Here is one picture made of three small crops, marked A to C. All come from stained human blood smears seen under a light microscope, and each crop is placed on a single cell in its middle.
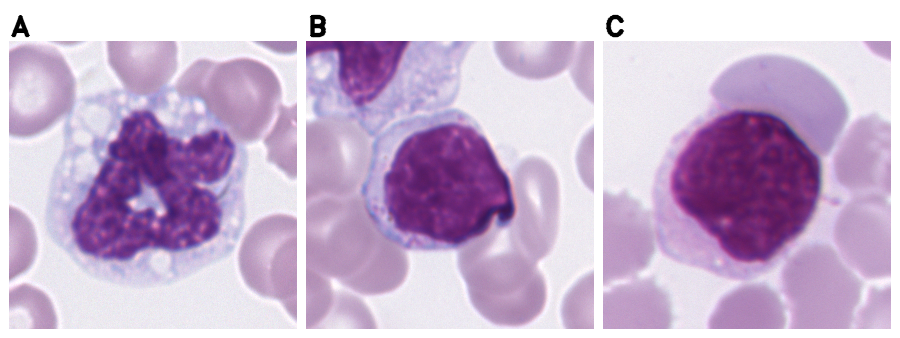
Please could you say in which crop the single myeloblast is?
C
